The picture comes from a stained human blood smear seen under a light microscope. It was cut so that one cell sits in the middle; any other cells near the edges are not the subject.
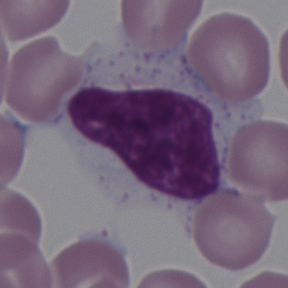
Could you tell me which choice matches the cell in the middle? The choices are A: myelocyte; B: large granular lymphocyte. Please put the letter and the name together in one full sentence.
The cell occupying the centre is a large granular lymphocyte; option B is thus the correct choice.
